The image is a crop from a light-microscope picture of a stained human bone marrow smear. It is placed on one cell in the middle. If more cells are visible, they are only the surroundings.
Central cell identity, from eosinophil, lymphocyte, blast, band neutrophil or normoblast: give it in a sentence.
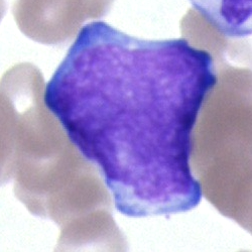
The centered cell in this crop is a blast.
